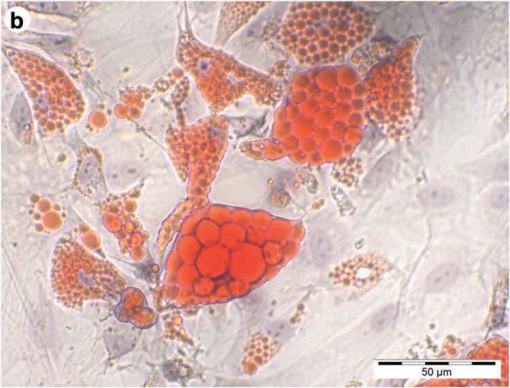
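Several rounded and irregular cells are filled with red-stained droplets, set among flat, pale, unstained spread cells. In the two largest cells the droplets are big and crowd together, filling almost the whole cell body, while other cells hold many small fine droplets. Some free round red droplets lie outside the cells. Pale blue-grey oval nuclei can be made out in the flat unstained cells of the background.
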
